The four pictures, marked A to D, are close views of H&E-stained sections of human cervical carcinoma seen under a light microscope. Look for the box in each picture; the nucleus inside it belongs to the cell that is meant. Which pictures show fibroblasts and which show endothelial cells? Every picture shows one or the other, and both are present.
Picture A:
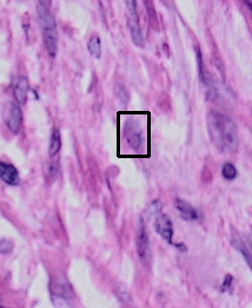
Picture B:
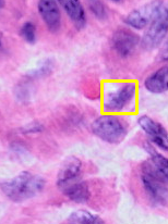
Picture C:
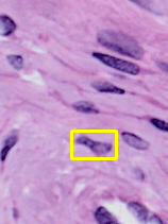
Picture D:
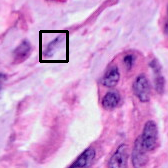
A: fibroblast
B: endothelial cell
C: fibroblast
D: fibroblast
